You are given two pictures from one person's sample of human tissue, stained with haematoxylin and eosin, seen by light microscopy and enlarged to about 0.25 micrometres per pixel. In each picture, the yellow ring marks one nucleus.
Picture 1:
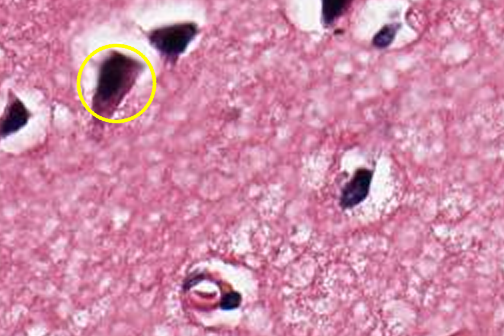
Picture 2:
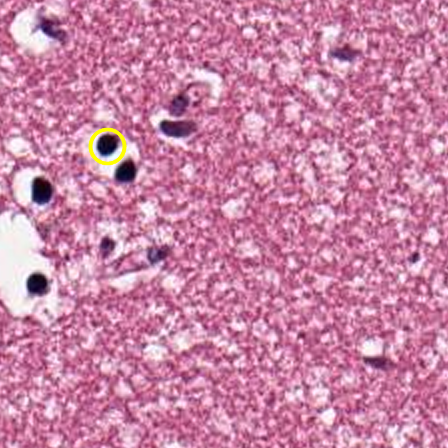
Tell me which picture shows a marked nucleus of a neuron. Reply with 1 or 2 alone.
1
